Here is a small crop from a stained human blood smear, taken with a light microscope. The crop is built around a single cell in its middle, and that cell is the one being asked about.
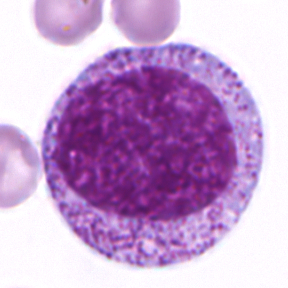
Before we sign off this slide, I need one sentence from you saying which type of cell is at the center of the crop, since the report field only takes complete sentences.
The centrally located cell in the crop is a myelocyte.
